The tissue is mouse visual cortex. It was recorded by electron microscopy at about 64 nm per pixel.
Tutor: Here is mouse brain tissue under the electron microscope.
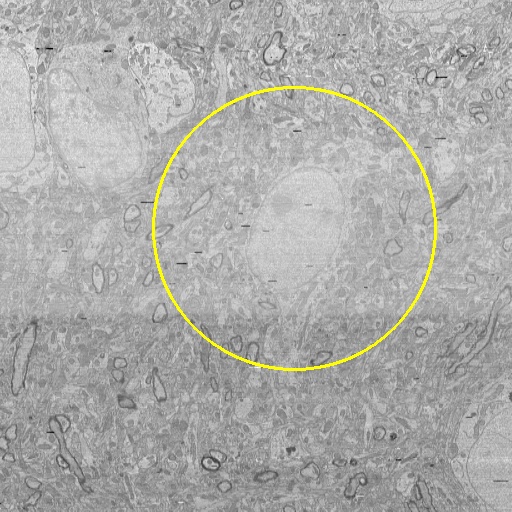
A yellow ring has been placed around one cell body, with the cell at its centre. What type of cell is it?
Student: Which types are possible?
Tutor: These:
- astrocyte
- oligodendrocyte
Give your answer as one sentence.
What the ring picks out here is an astrocyte.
